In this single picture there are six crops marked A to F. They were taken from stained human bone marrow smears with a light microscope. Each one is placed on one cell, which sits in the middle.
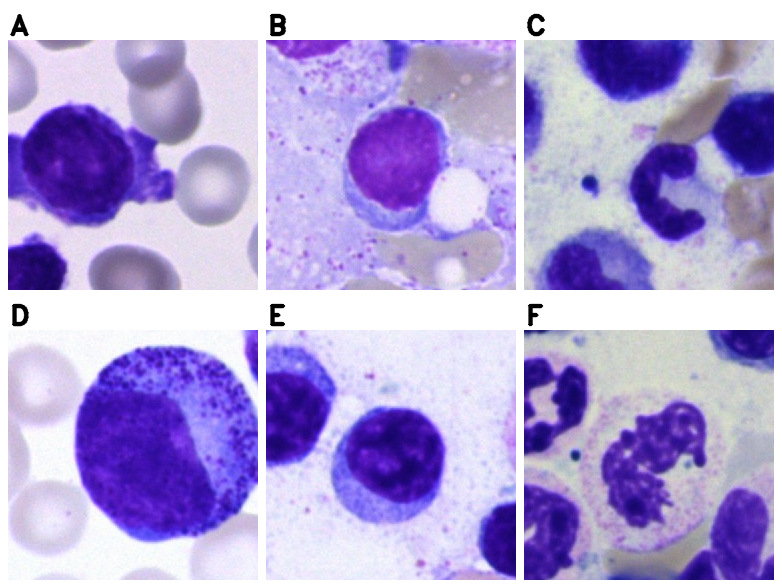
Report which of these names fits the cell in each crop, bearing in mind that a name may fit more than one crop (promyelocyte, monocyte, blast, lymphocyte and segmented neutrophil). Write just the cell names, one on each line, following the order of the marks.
blast
lymphocyte
segmented neutrophil
promyelocyte
lymphocyte
segmented neutrophil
